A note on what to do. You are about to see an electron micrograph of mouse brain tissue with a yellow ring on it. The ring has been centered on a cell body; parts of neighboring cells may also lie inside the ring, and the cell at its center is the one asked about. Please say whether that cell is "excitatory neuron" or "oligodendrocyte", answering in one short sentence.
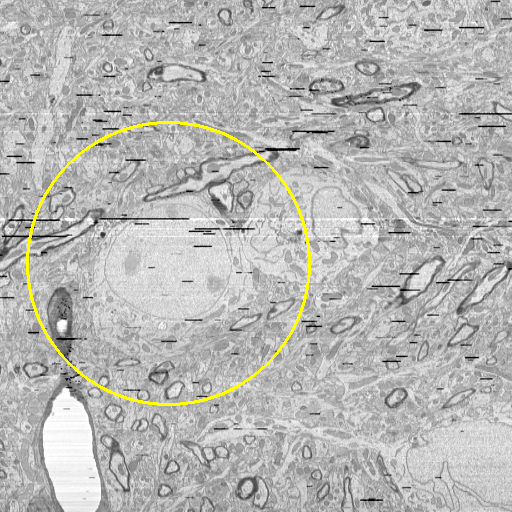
The yellow ring sits on an excitatory neuron.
